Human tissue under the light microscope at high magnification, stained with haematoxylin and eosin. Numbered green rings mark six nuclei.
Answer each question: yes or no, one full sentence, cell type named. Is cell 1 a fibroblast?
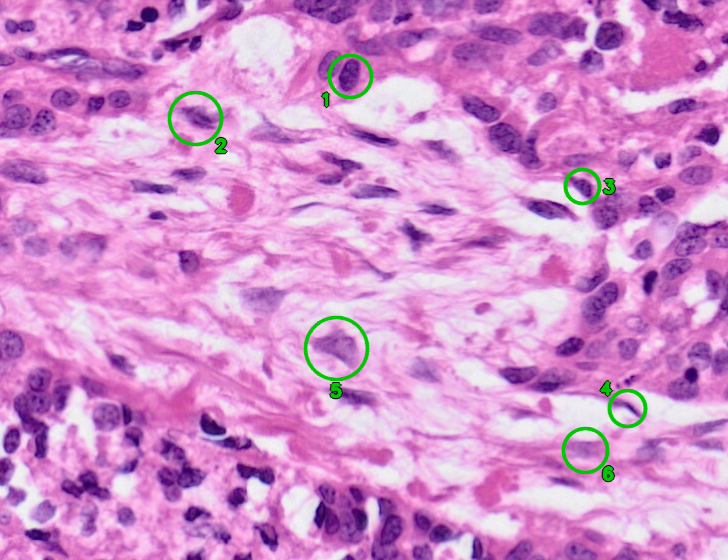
No, with respect, cell 1 is a carcinoma cell rather than a fibroblast.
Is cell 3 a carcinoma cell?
Yes, the cell that has number 3 is a carcinoma cell.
